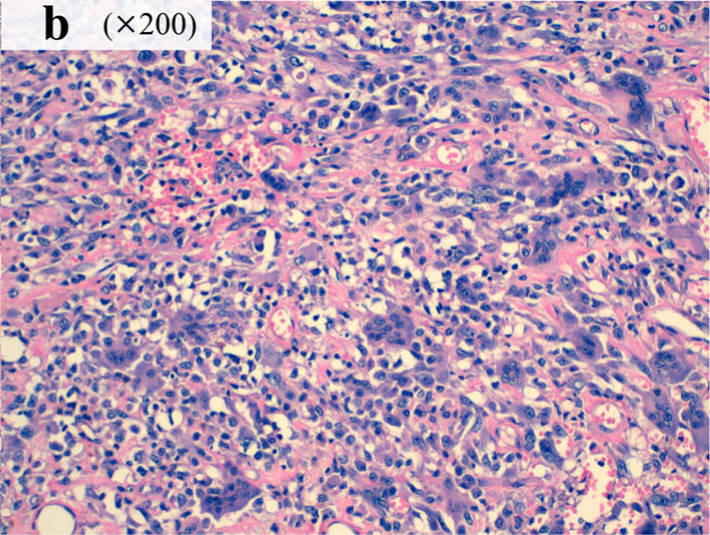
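This tumor tissue is made up mainly of mononuclear histiocyte-like cells, oval to spindle-shaped, each with a single purple nucleus and pale pink to vacuolated cytoplasm. Scattered among them are multinucleated giant cells, large cells with clusters of many dark nuclei in abundant pink-purple cytoplasm. Small vessels filled with red blood cells and strands of pink stroma run between the cells.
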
